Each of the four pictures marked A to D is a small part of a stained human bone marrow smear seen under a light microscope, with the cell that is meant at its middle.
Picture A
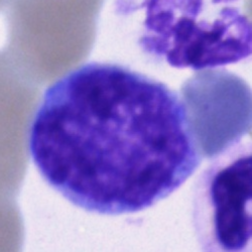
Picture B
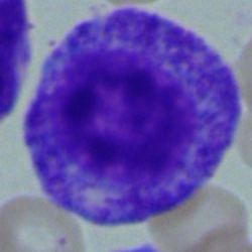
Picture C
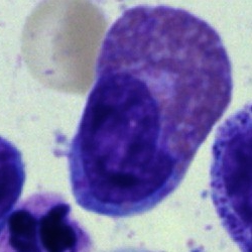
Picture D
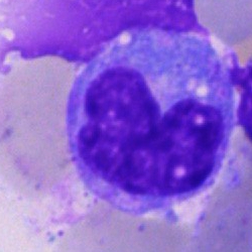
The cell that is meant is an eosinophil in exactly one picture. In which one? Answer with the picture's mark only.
C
